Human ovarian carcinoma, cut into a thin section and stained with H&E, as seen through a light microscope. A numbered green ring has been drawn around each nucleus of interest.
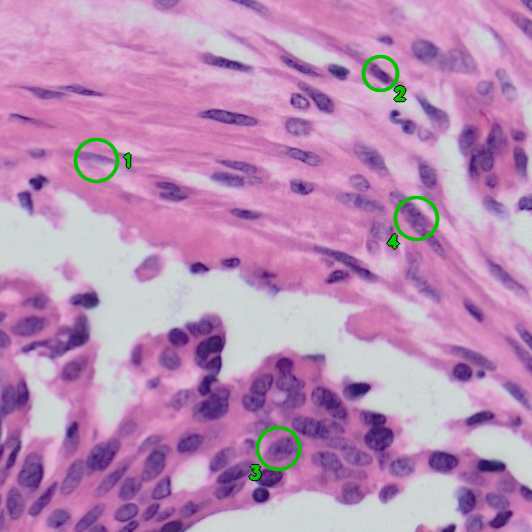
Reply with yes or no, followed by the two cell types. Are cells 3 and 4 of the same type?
No; cell 3 is a carcinoma cell, whereas cell 4 is a fibroblast.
